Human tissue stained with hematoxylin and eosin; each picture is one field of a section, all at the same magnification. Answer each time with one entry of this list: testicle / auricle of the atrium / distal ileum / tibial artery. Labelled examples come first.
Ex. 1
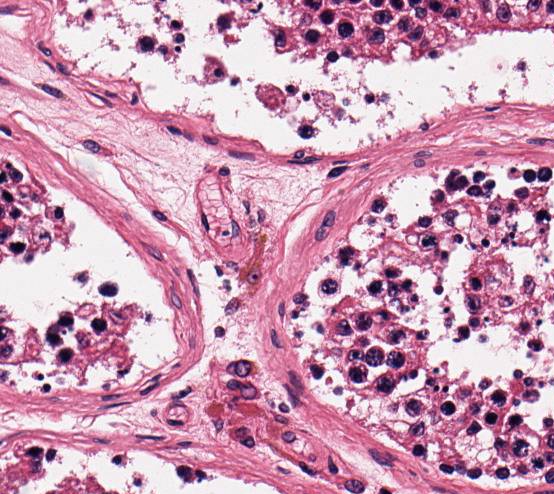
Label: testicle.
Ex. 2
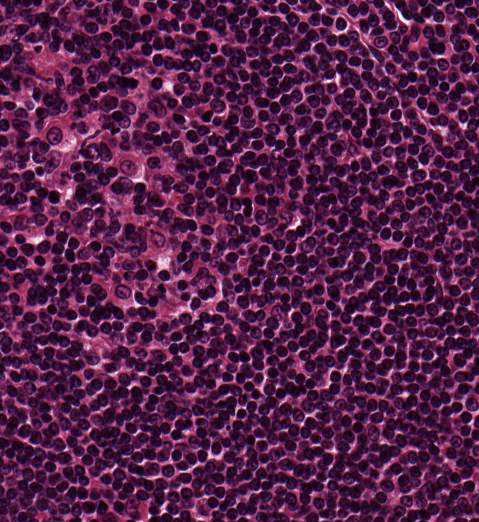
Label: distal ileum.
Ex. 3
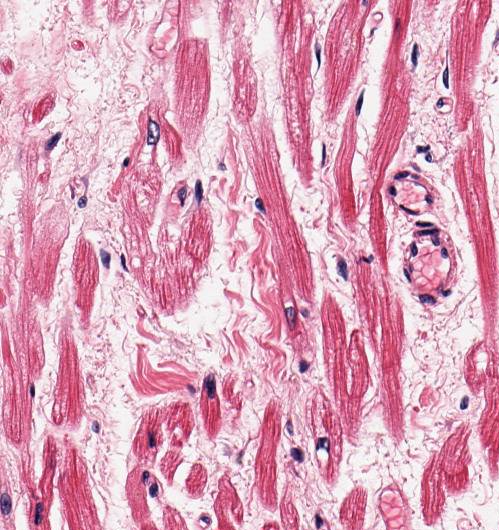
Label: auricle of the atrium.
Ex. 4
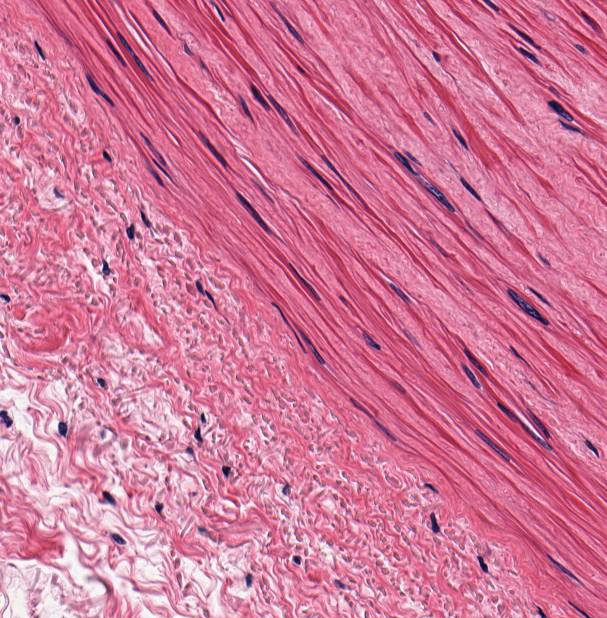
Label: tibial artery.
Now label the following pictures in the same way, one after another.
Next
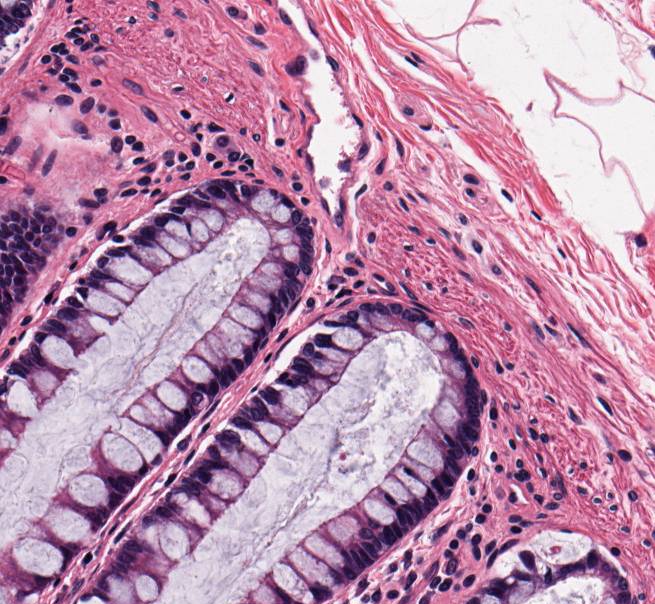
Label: distal ileum.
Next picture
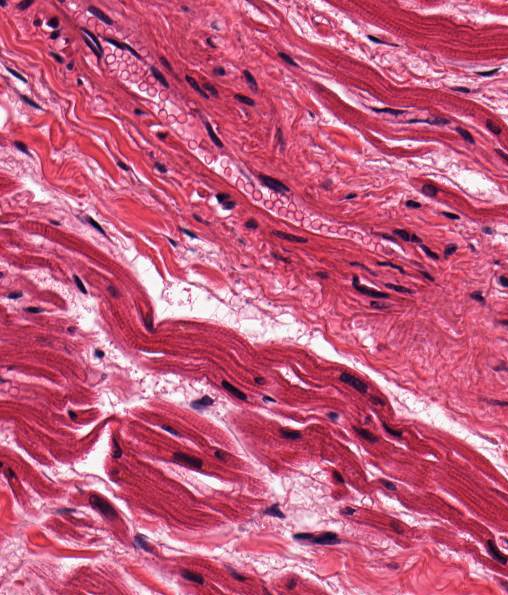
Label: auricle of the atrium.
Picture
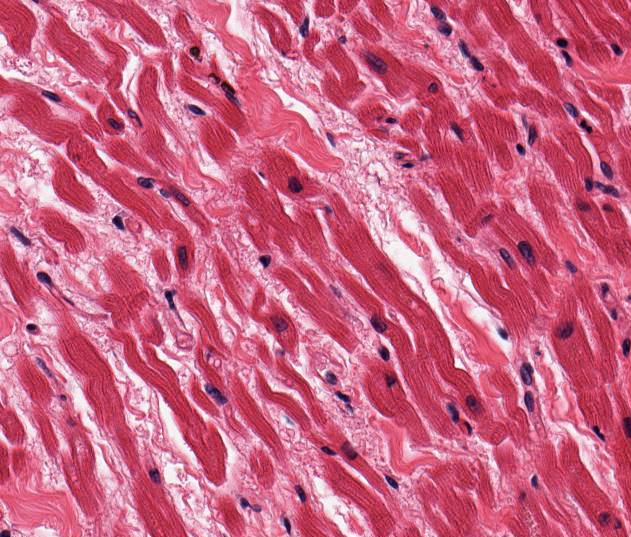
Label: auricle of the atrium.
